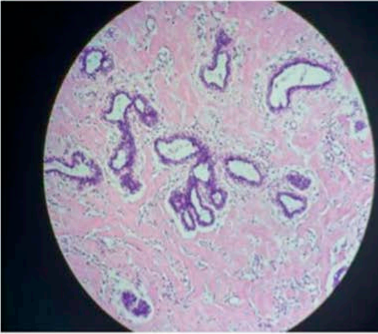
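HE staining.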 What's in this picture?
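This is a low-power view of dense, pale pink fibrous stroma in which several branching glandular structures sit, each lined by a purple rim of closely packed epithelial nuclei around a clear lumen. The stroma is only sparsely cellular, and at this magnification no crowded or bizarre nuclei stand out.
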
